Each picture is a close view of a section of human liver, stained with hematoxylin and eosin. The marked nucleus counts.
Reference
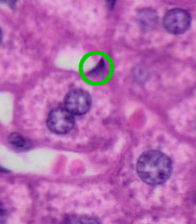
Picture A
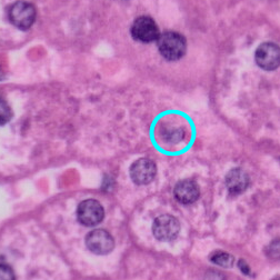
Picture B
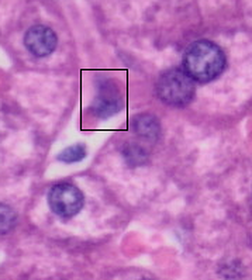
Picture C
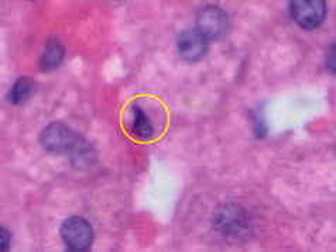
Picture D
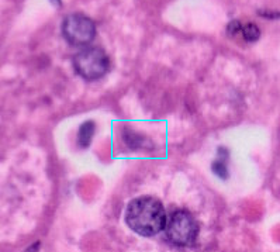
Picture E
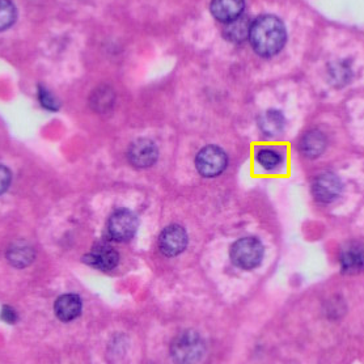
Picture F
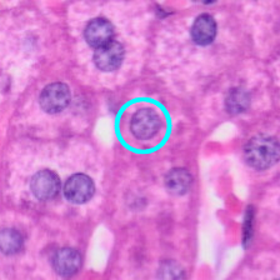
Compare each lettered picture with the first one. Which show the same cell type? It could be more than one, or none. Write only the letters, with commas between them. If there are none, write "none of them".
A, C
